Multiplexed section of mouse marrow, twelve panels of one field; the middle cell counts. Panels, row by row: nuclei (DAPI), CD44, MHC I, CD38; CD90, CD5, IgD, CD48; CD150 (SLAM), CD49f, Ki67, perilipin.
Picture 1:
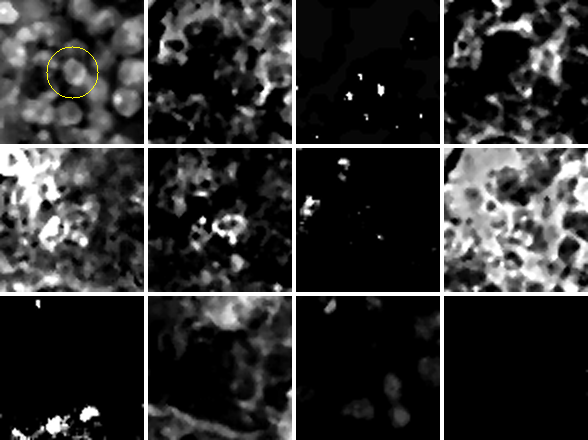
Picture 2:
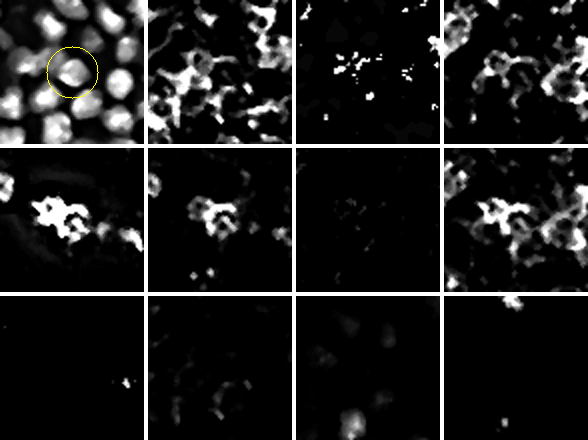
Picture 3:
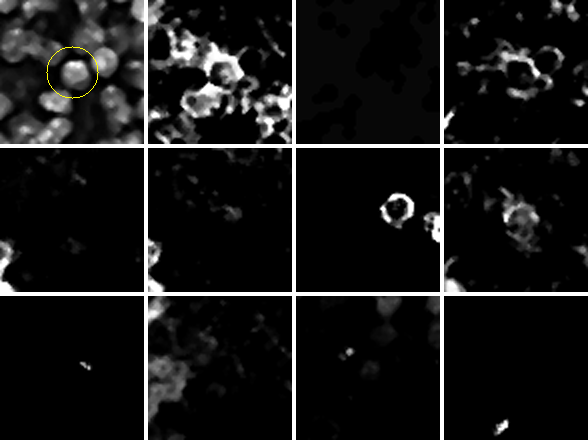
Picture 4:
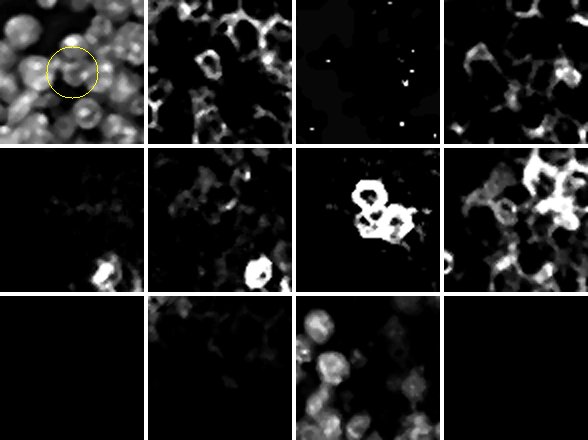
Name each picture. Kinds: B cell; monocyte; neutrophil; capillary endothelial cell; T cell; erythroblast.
1. T cell
2. T cell
3. monocyte
4. B cell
